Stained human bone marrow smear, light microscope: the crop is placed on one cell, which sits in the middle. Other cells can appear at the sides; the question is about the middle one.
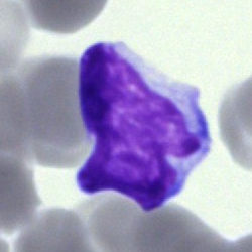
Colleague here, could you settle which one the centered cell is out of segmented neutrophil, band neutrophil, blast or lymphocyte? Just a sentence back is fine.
The centrally placed cell is classified as a blast.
